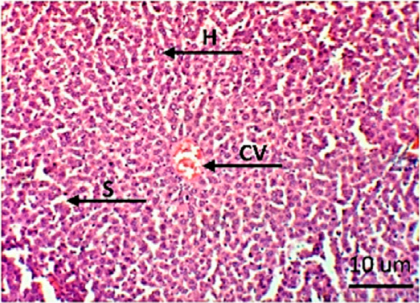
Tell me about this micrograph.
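Plates of polygonal cells with pink cytoplasm and round purple nuclei run in cords around a small central vessel containing red blood cells, with narrow pale channels between the cords. This is liver parenchyma: cords of hepatocytes separated by sinusoids, arranged around a central vein.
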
